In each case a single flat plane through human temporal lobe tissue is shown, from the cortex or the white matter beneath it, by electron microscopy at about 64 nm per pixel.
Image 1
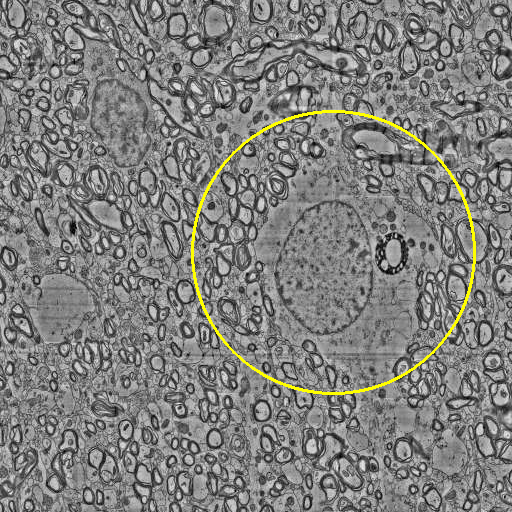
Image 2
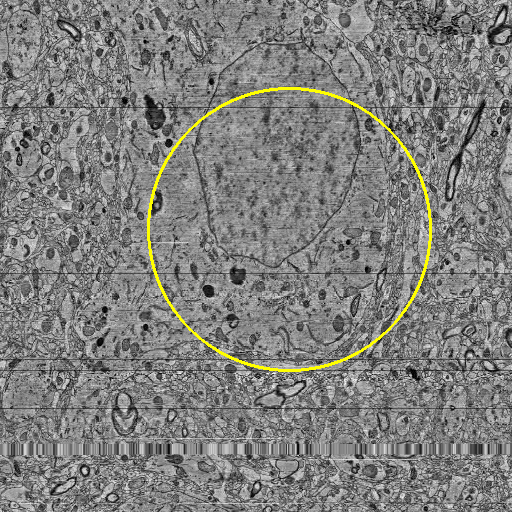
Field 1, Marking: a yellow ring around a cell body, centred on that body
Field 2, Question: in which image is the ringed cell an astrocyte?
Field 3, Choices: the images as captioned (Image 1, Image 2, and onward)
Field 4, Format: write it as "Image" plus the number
Image 1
